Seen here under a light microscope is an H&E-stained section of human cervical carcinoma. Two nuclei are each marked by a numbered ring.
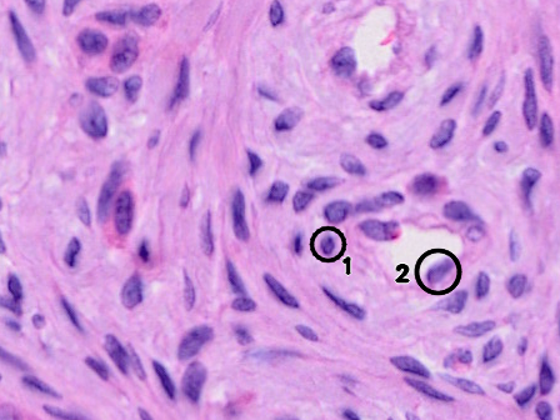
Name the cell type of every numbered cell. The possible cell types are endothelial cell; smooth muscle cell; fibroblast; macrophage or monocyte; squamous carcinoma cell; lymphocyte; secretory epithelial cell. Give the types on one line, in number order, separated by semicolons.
fibroblast; endothelial cell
